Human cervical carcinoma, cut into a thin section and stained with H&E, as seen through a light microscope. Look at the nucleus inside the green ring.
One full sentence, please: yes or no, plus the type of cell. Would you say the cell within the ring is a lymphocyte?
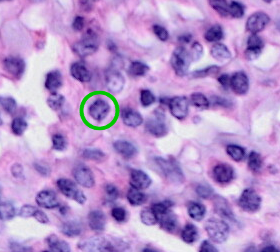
Yes, the cell within the ring qualifies as a lymphocyte in this section.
